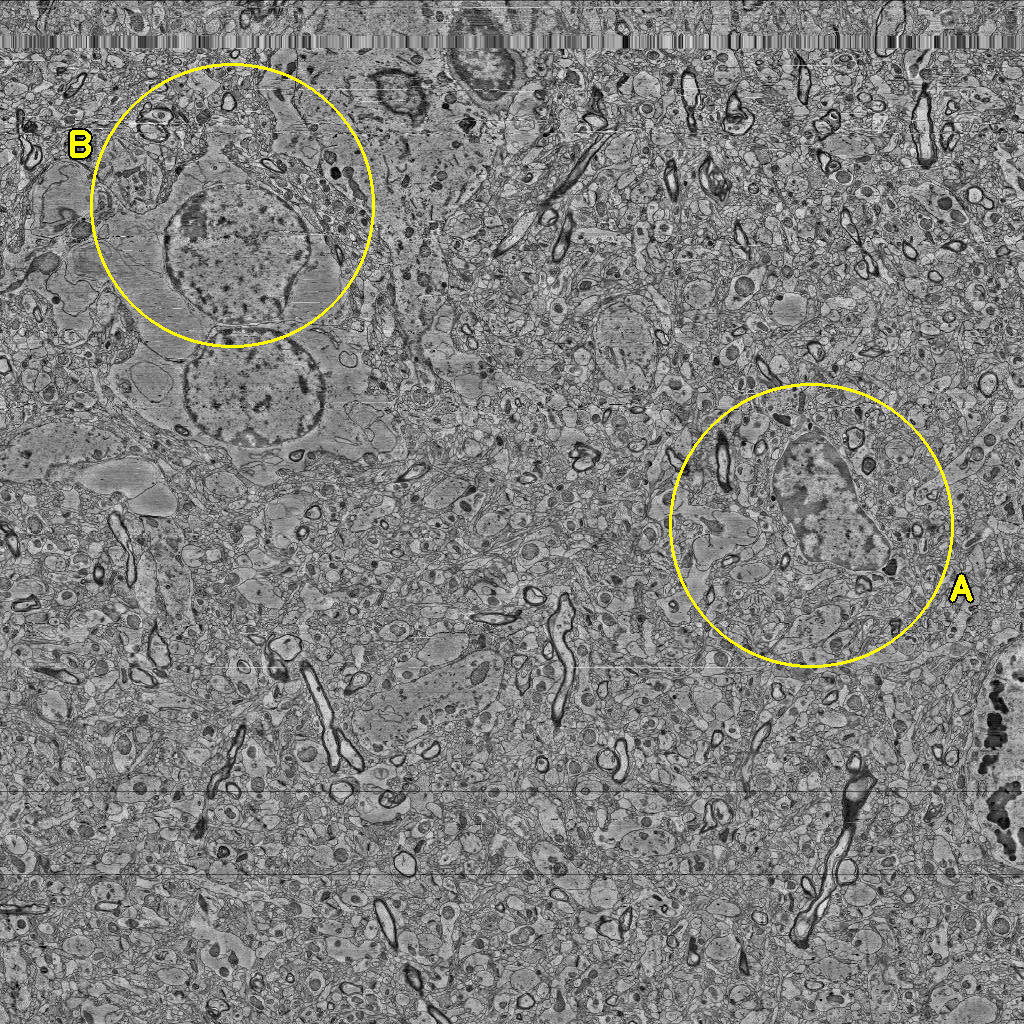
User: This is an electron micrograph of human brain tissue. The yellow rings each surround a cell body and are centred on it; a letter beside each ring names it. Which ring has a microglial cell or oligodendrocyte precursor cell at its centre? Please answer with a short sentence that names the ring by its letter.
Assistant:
Ring A has it at its centre.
